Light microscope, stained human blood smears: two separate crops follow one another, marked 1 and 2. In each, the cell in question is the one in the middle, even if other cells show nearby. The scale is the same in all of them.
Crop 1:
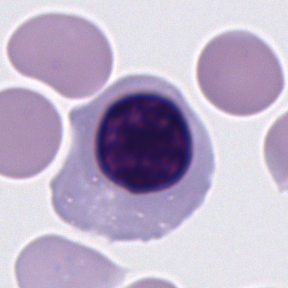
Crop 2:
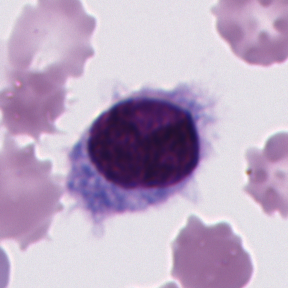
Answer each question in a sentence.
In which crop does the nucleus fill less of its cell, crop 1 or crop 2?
The nucleus fills less of the cell in crop 1 than in crop 2.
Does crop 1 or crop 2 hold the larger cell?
The cell in crop 1 is larger, with about 1.5 times the area of the one in crop 2.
